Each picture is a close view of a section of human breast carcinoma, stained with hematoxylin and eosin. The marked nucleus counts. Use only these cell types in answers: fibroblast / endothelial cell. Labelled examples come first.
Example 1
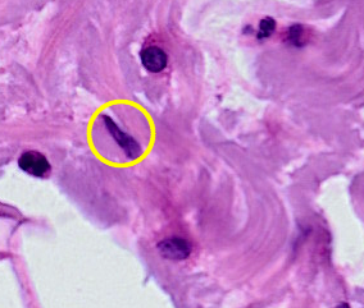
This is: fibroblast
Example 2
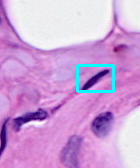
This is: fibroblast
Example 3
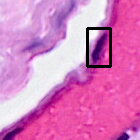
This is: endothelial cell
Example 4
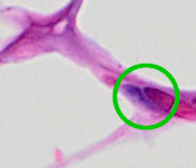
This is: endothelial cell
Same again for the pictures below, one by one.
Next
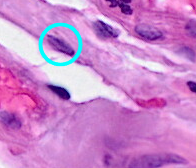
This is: fibroblast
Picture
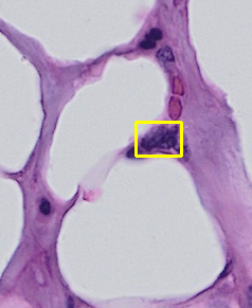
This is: endothelial cell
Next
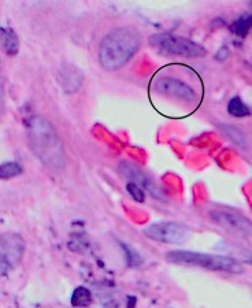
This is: endothelial cell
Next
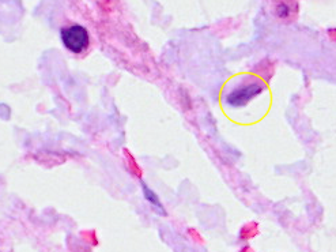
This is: fibroblast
